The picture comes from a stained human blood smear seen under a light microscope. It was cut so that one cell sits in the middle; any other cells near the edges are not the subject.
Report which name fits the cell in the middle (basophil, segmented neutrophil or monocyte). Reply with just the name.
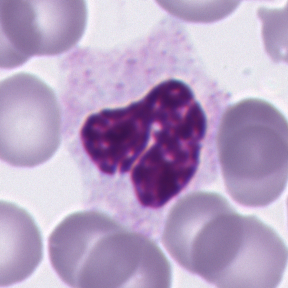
segmented neutrophil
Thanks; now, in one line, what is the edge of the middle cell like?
Around its circumference, the cell has an uneven edge, ragged or projecting in places.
